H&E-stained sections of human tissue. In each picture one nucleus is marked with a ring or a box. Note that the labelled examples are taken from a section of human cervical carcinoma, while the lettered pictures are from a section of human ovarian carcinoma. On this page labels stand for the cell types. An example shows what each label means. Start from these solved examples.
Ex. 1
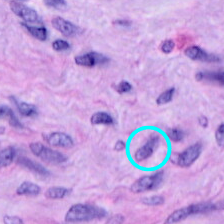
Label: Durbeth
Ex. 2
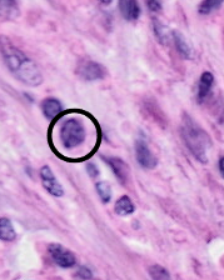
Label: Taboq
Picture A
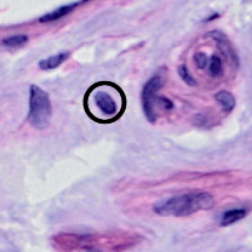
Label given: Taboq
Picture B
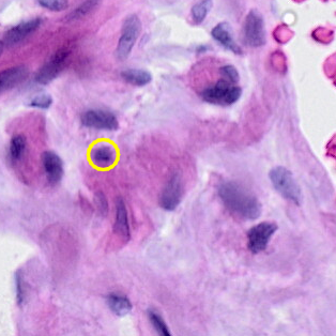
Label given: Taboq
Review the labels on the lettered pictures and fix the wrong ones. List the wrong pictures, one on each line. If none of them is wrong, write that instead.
B: Durbeth, not Taboq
